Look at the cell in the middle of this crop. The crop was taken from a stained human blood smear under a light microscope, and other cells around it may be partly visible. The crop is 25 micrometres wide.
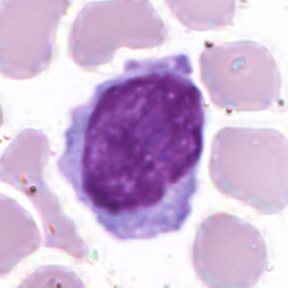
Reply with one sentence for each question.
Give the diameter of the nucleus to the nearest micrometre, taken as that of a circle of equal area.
It measures about 11 micrometres across.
